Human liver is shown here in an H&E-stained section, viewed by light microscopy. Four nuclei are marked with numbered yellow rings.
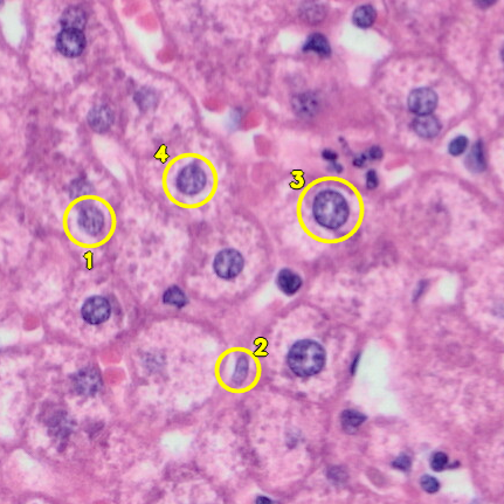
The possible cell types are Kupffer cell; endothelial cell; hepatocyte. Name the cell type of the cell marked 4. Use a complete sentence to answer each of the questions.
The marked cell bearing number 4 is a hepatocyte.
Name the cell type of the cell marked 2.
The cell bearing label 2 corresponds to a Kupffer cell.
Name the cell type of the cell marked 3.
Denoted by the label 3 in the section is a hepatocyte.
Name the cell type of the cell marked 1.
The numeral 1 marks a hepatocyte in this section.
